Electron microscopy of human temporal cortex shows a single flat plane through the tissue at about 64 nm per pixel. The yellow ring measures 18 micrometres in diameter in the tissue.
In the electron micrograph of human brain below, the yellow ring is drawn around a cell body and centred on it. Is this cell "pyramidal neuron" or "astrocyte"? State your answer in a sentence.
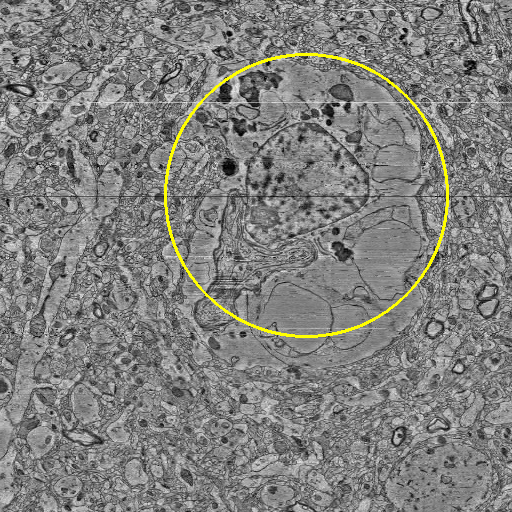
The cell in the middle of the ring is an astrocyte.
